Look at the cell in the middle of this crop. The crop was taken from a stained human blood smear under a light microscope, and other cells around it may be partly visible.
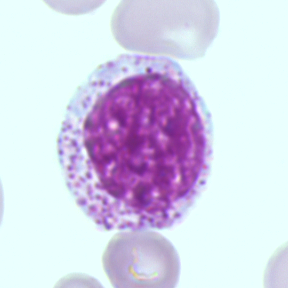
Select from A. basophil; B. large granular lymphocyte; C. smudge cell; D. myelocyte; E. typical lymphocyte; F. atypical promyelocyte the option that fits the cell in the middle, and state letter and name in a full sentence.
Option D is to be chosen, as the central cell is a myelocyte.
